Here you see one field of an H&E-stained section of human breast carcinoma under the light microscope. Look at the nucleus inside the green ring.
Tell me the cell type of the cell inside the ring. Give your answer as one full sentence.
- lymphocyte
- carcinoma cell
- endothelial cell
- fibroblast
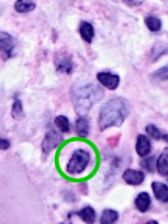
The classification of the cell inside the ring is as a lymphocyte.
